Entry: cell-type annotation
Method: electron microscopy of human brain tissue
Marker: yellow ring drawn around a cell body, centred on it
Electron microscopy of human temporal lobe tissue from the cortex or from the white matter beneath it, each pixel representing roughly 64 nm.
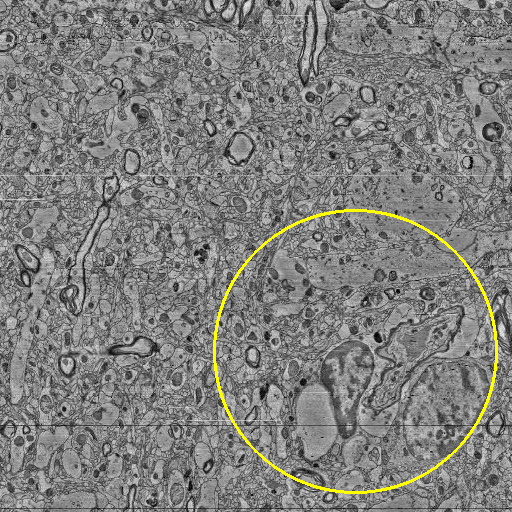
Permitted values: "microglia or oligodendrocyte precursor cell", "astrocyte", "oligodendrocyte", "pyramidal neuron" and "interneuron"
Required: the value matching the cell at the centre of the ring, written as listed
microglia or oligodendrocyte precursor cell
